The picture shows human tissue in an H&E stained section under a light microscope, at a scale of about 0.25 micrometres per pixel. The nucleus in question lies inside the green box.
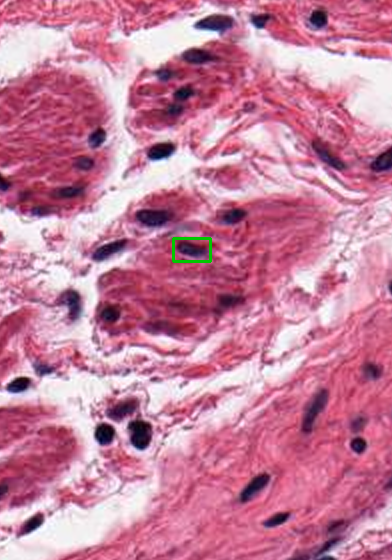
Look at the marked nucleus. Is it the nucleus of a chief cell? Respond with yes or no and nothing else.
no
